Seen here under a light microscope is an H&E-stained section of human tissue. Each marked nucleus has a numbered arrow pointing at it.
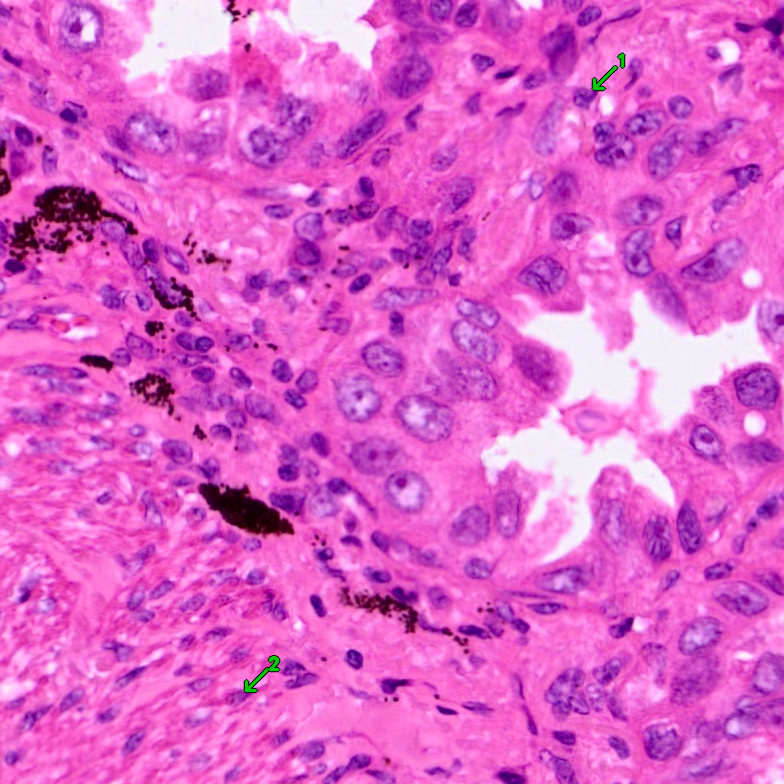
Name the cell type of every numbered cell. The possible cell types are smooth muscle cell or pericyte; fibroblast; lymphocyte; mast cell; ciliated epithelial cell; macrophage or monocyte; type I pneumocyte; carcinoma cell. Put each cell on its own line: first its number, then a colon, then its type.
1: lymphocyte
2: smooth muscle cell or pericyte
